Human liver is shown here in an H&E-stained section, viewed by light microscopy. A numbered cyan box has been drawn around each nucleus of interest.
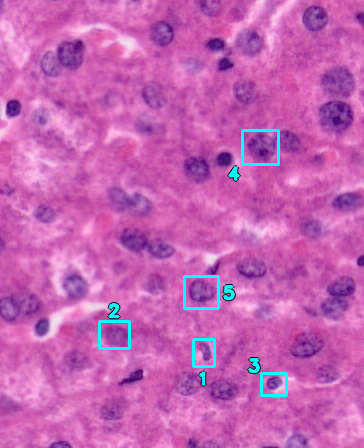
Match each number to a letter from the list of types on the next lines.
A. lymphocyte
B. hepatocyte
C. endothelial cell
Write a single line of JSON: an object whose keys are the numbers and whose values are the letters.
{"1": "C", "2": "B", "3": "A", "4": "B", "5": "B"}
